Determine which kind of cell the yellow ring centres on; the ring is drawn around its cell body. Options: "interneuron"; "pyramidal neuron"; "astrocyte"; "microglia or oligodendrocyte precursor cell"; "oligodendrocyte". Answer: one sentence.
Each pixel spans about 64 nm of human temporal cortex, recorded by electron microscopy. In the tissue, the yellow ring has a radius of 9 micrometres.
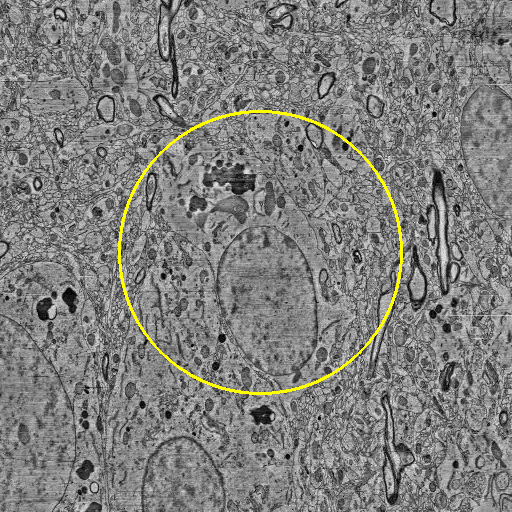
The ring centres on an astrocyte.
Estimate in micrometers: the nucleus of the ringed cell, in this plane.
In this plane the nucleus is roughly 10 by 6 micrometres, clearly longer than it is wide.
